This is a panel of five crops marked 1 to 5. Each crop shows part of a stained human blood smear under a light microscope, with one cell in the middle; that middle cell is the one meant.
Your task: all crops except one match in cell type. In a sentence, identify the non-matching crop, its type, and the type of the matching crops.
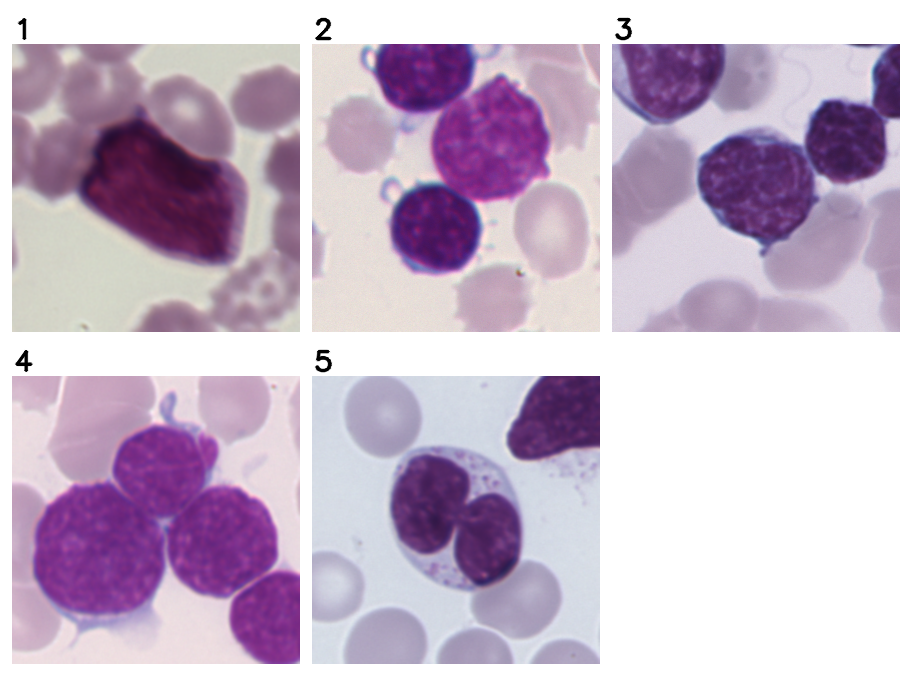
Among these crops, myeloblasts occur in all but crop 5, which contains a large granular lymphocyte.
